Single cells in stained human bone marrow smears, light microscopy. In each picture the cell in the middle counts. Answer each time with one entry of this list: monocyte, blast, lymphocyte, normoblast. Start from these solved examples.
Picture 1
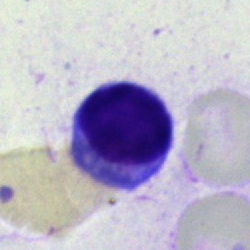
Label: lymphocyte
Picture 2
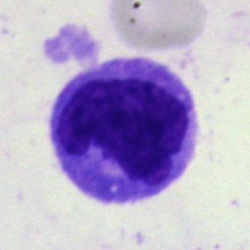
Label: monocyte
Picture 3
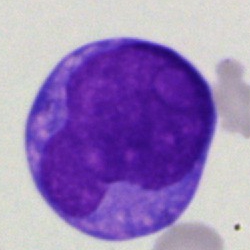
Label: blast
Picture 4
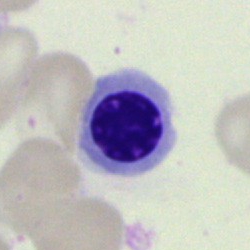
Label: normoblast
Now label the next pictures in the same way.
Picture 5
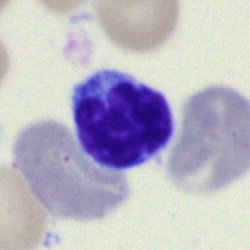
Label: lymphocyte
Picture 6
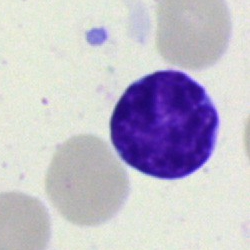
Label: lymphocyte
